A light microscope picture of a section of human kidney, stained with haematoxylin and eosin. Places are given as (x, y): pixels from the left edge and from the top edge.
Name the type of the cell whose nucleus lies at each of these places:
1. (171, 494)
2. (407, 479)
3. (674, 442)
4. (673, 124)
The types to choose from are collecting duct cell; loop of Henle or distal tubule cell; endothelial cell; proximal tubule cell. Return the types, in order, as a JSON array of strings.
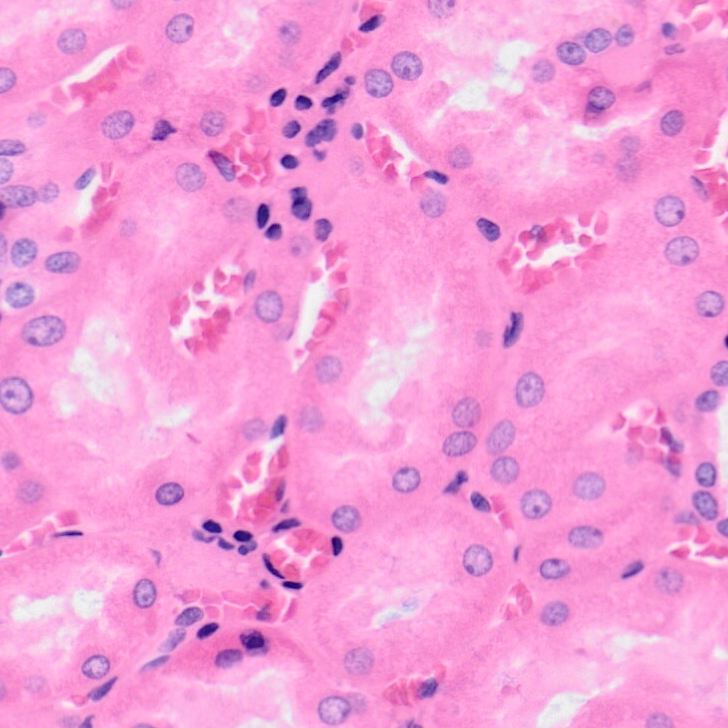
["proximal tubule cell", "proximal tubule cell", "endothelial cell", "proximal tubule cell"]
